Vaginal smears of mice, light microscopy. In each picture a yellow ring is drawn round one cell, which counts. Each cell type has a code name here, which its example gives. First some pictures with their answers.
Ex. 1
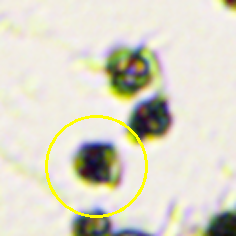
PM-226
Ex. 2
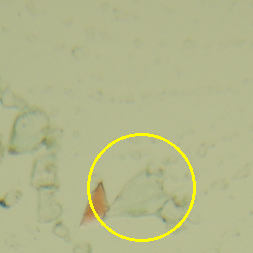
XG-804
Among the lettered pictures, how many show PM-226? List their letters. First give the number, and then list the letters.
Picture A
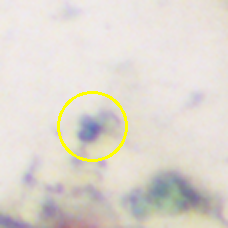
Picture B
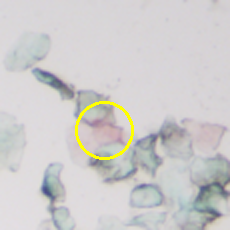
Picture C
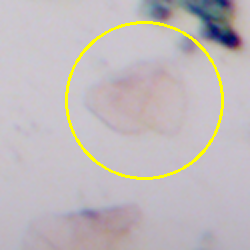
1, namely A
